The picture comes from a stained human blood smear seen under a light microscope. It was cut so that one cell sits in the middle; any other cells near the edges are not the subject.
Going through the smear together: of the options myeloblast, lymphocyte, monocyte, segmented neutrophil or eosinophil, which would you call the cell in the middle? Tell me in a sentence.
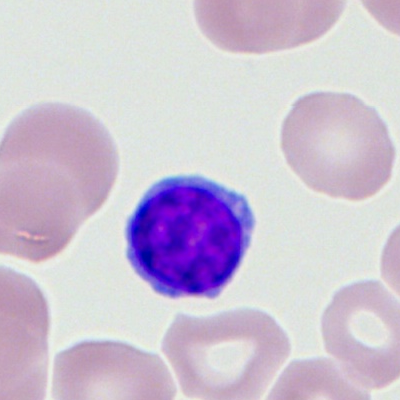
At the crop's centre, the cell is a lymphocyte.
